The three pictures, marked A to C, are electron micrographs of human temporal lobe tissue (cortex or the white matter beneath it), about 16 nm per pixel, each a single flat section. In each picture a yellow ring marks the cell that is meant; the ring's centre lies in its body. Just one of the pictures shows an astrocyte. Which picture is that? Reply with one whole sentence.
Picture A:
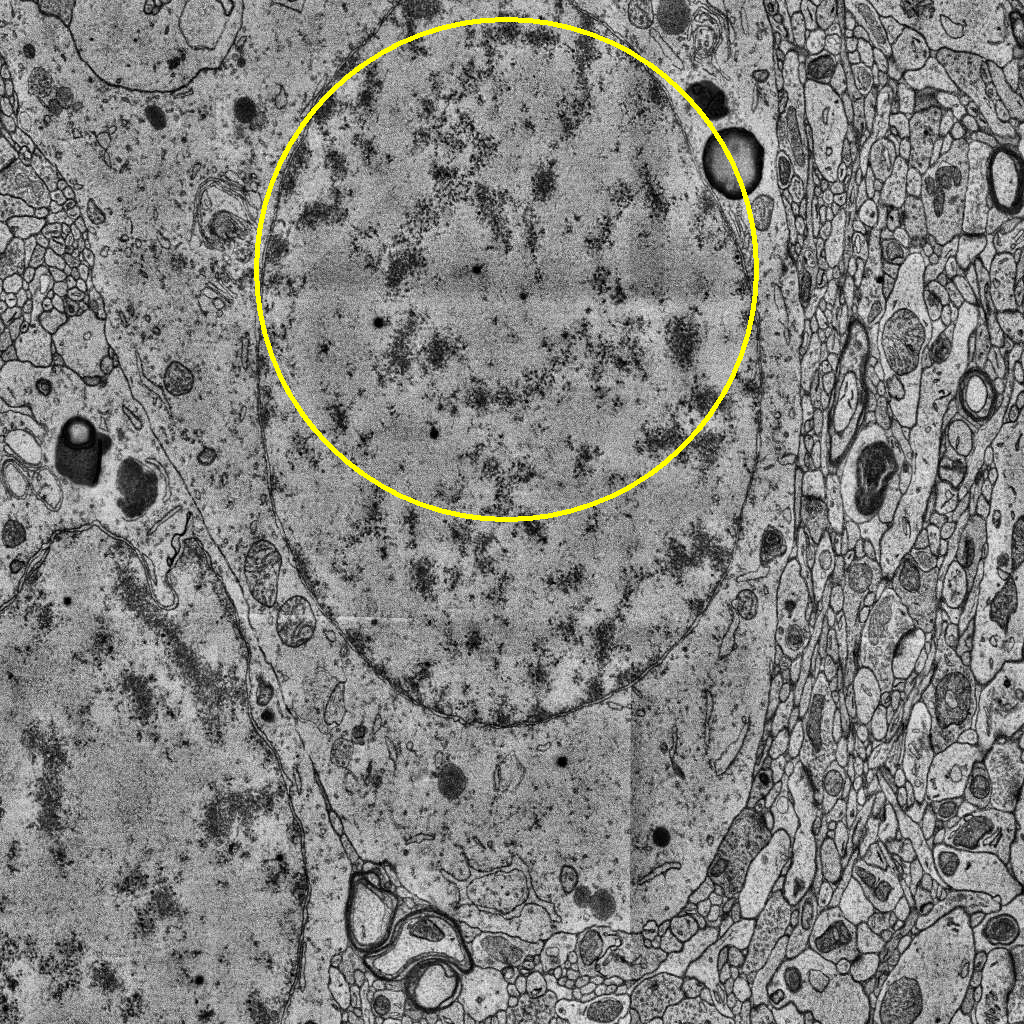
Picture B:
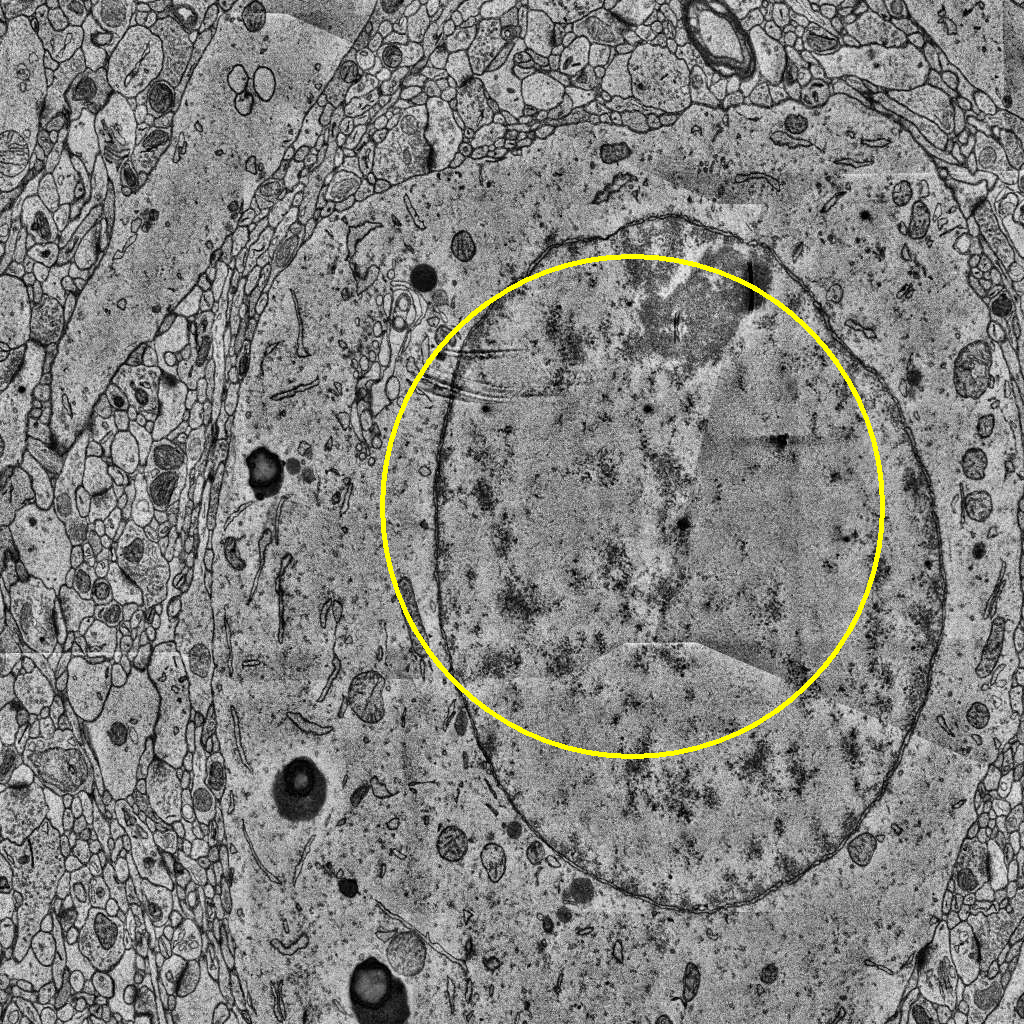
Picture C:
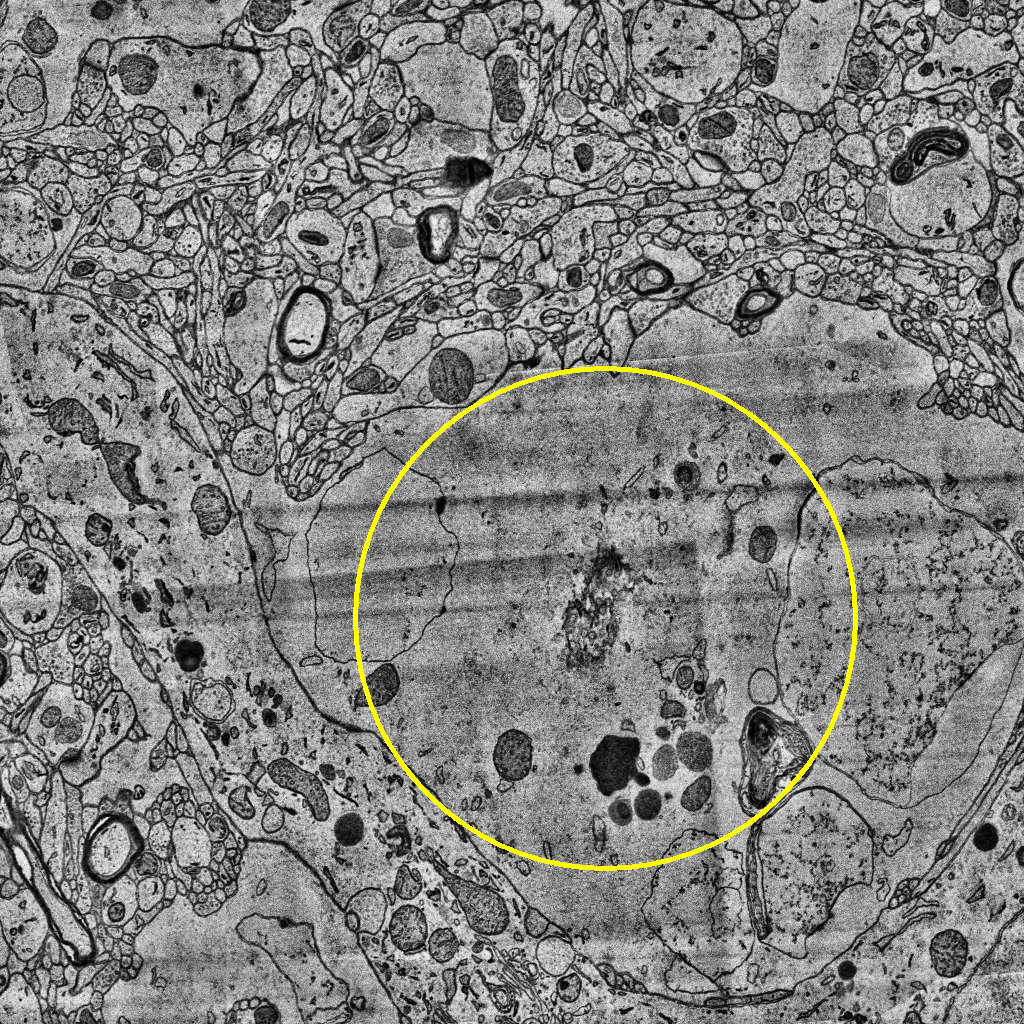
Picture C is the one that shows the astrocyte.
